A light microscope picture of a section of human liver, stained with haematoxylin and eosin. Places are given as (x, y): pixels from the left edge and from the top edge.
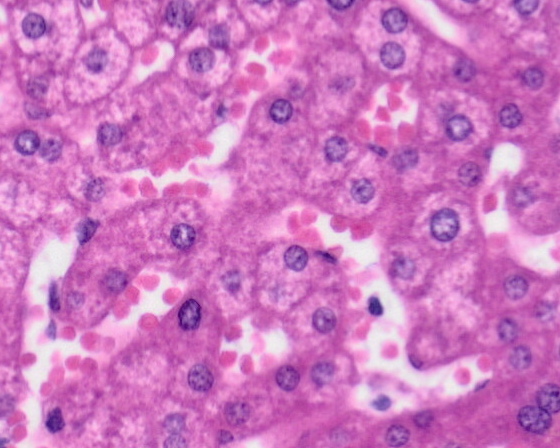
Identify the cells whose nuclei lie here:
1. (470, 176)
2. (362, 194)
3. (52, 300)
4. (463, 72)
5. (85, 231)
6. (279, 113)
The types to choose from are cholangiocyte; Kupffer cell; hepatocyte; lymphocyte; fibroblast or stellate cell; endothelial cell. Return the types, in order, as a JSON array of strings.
["hepatocyte", "hepatocyte", "Kupffer cell", "hepatocyte", "endothelial cell", "hepatocyte"]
